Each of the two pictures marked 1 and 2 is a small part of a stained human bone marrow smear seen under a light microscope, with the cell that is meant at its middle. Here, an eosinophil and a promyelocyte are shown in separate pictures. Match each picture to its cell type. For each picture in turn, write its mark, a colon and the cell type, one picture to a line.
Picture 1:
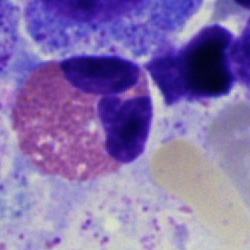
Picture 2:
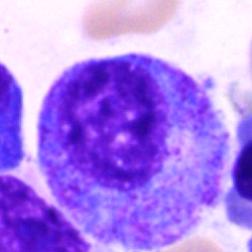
1: eosinophil
2: promyelocyte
